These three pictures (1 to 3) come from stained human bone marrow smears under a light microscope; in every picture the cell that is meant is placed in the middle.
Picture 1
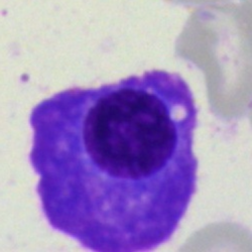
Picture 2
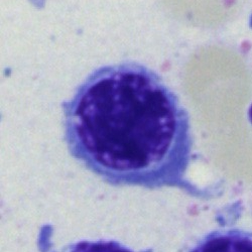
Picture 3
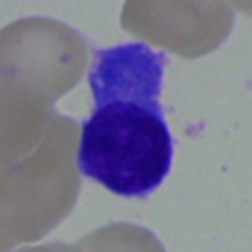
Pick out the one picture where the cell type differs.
2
